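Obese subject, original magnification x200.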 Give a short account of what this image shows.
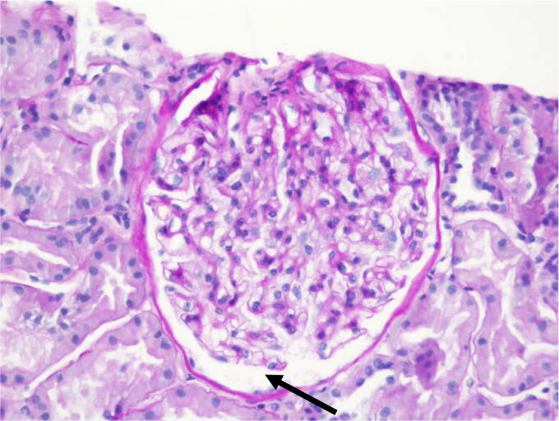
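A large round renal glomerulus whose dense capillary tuft of many magenta-outlined loops and blue nuclei is surrounded by a bright magenta capsule. A thin clear crescent of Bowman's space separates the tuft from the capsule, widest along the bottom. Tubules with pink cytoplasm and blue nuclei surround the glomerulus.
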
